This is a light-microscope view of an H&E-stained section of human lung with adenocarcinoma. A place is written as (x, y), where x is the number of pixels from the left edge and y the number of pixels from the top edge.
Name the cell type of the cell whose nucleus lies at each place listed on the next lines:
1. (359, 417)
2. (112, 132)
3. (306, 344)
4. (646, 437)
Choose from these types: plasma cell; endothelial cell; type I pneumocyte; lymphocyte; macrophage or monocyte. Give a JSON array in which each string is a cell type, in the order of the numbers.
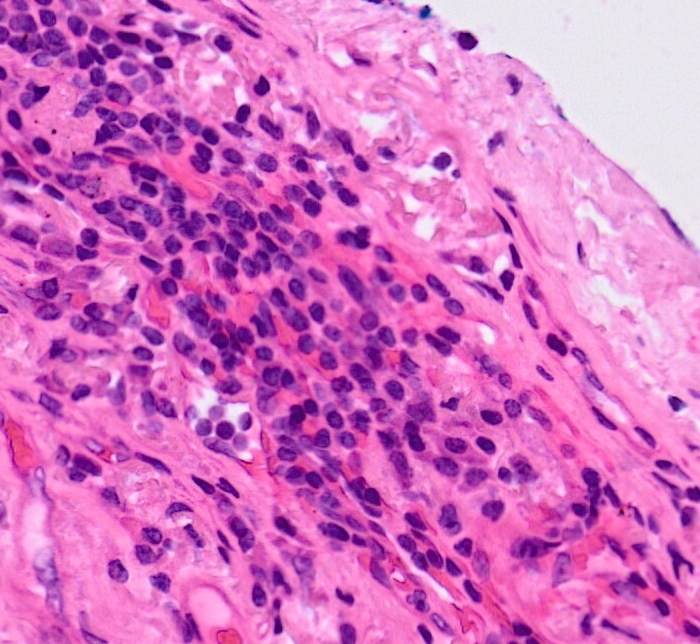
["lymphocyte", "lymphocyte", "lymphocyte", "endothelial cell"]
